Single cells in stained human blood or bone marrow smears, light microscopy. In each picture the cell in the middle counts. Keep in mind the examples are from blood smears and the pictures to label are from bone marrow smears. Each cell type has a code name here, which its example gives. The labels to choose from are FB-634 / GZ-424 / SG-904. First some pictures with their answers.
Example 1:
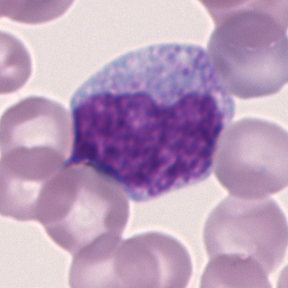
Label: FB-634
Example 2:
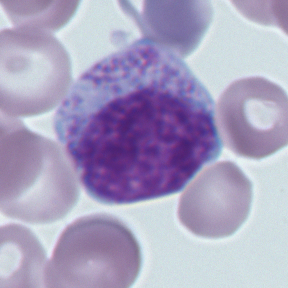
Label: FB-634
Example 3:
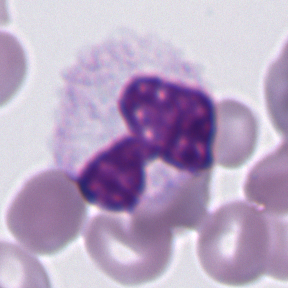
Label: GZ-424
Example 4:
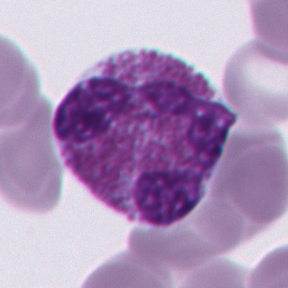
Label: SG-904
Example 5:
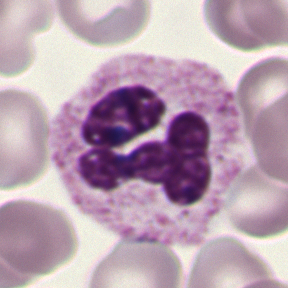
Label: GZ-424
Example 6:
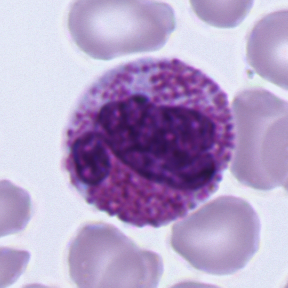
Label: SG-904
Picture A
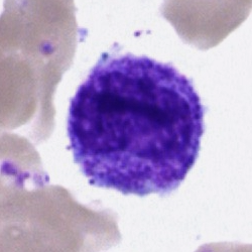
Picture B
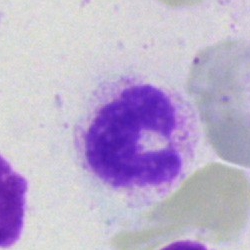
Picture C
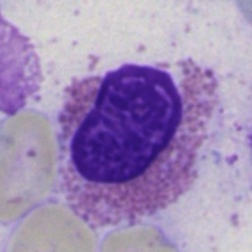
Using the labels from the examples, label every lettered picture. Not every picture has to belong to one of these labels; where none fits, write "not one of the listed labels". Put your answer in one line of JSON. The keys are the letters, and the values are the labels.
{"A": "FB-634", "B": "GZ-424", "C": "SG-904"}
